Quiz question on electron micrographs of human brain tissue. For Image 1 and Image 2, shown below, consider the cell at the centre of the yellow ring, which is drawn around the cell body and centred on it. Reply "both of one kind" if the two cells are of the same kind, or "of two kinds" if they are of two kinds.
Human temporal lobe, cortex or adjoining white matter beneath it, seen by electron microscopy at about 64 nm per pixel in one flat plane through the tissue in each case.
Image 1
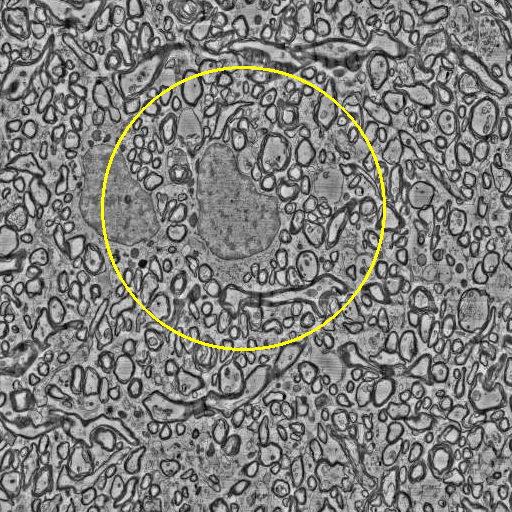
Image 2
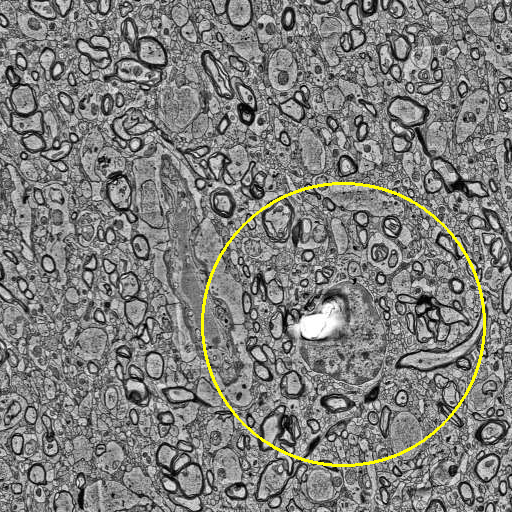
of two kinds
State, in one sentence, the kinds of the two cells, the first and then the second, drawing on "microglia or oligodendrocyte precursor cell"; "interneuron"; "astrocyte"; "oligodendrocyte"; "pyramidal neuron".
The ring in the second picture is centred on a microglial cell or oligodendrocyte precursor cell, the ring in the first on an oligodendrocyte.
